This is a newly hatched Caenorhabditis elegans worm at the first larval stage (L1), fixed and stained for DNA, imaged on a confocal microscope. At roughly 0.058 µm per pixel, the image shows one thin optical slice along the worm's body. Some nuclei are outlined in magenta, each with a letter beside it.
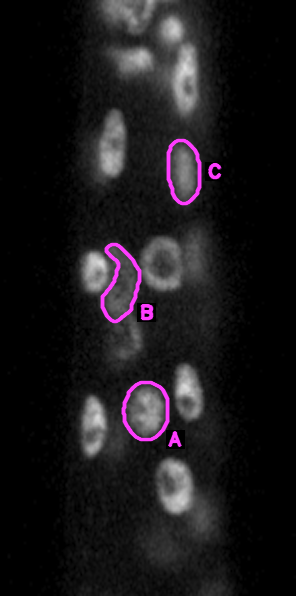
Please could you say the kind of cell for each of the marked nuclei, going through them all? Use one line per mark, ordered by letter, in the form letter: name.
A: seam cell
B: intestinal cell
C: enteric muscle cell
